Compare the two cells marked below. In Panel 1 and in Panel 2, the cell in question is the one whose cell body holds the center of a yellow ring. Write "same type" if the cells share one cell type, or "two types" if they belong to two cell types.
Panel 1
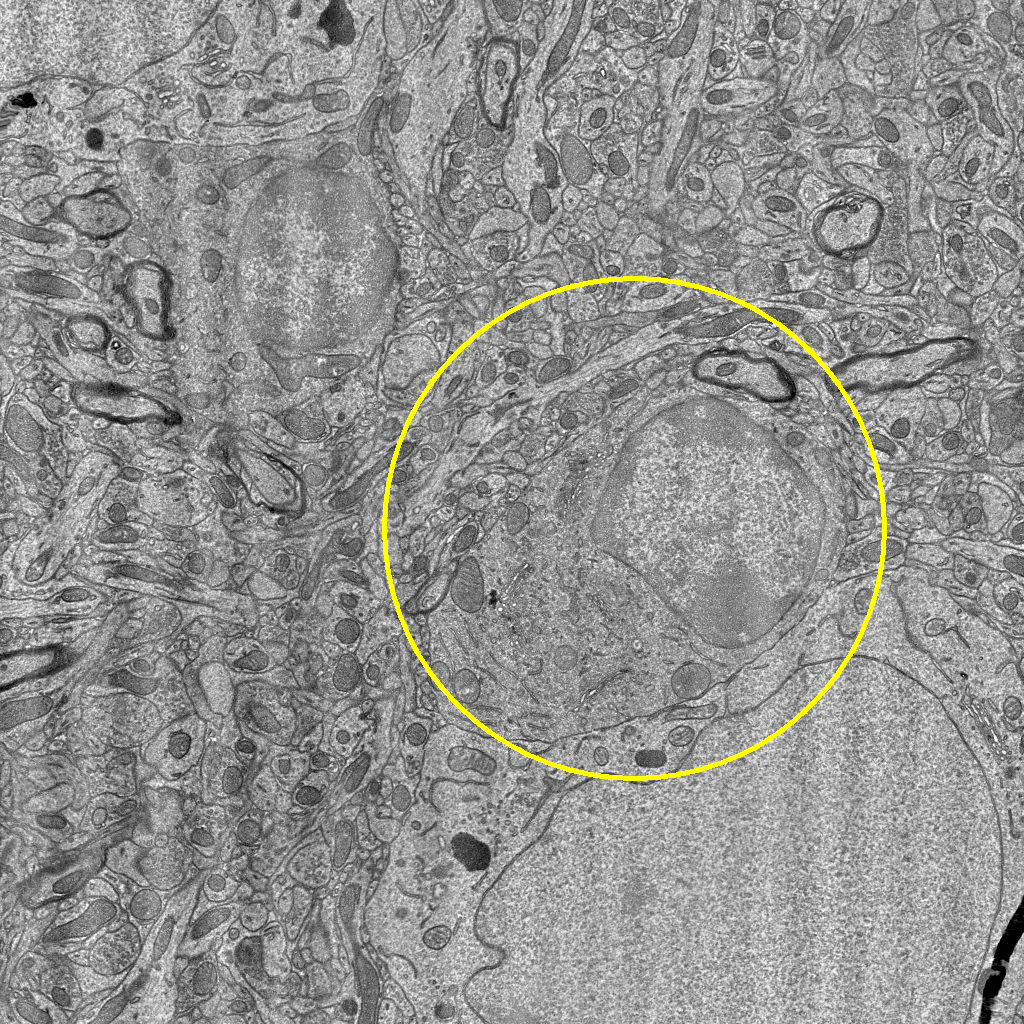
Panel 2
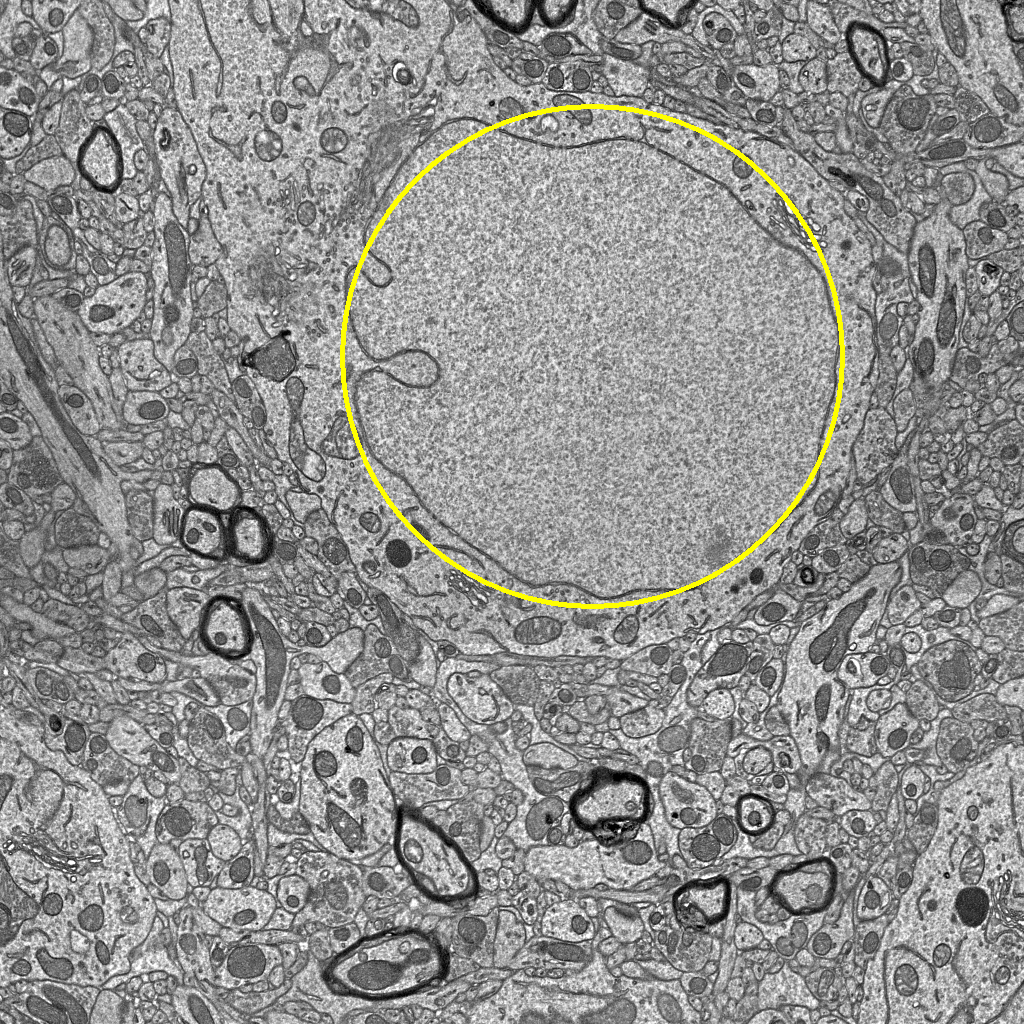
two types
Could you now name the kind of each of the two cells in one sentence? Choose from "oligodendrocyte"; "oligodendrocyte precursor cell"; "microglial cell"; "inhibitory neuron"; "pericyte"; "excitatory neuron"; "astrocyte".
The cell marked in the first picture is an oligodendrocyte, and the one marked in the second is an excitatory neuron.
